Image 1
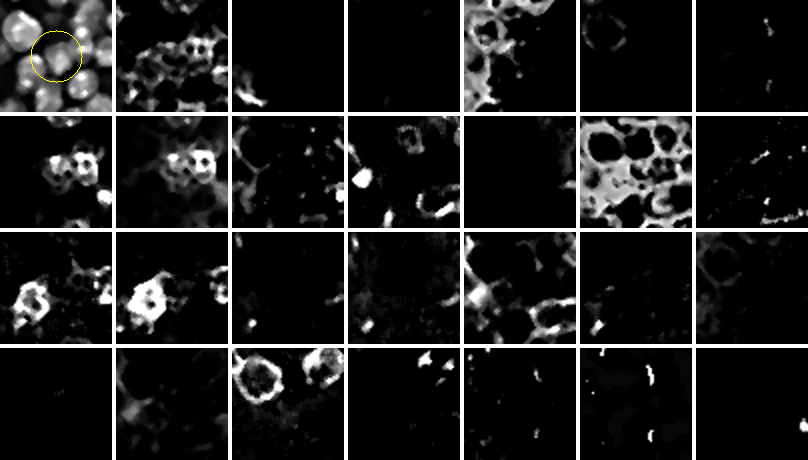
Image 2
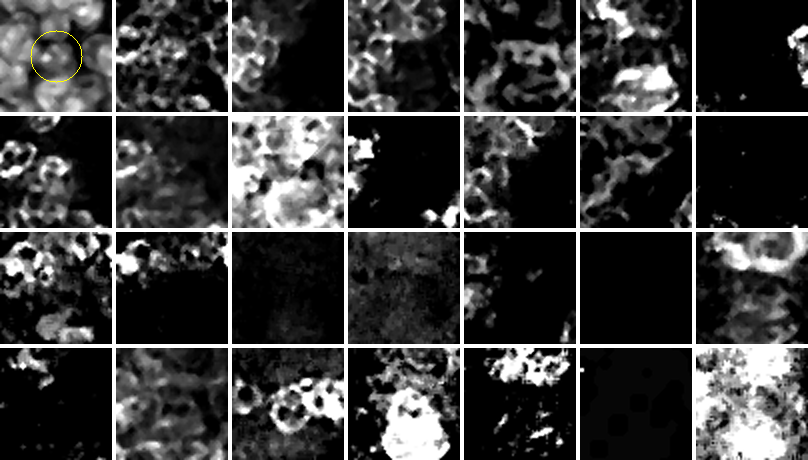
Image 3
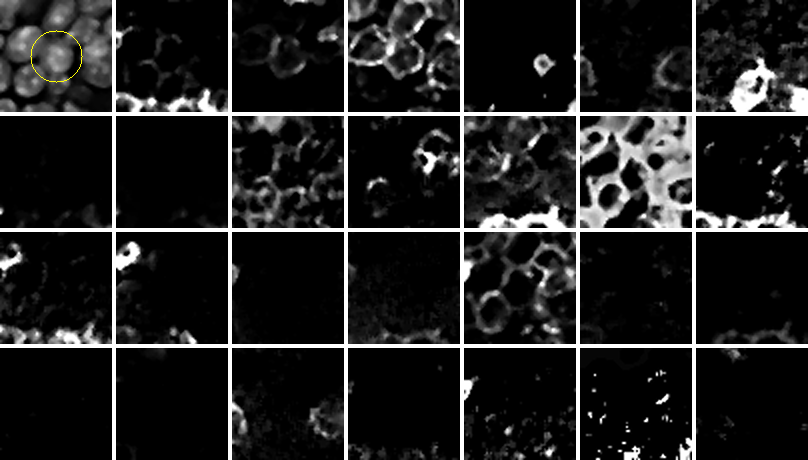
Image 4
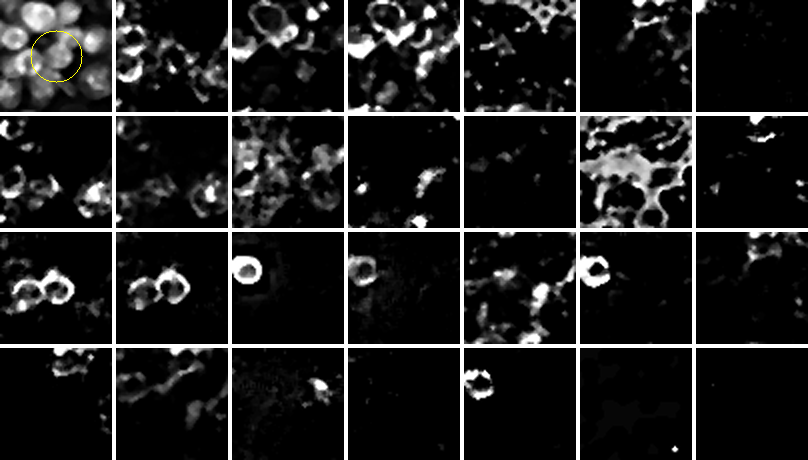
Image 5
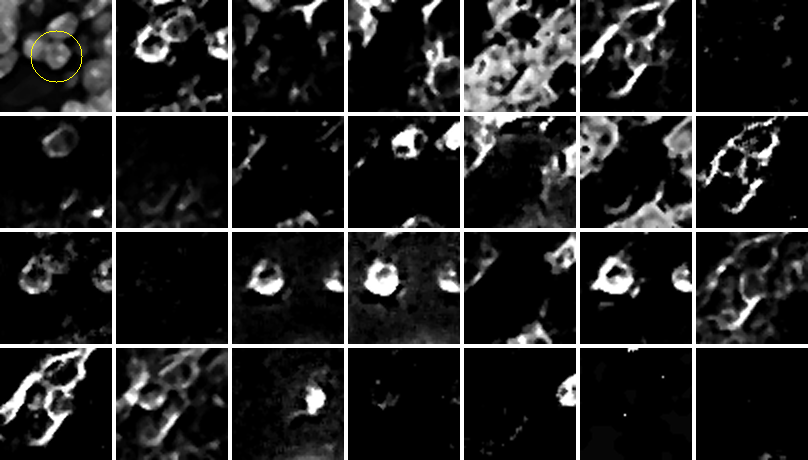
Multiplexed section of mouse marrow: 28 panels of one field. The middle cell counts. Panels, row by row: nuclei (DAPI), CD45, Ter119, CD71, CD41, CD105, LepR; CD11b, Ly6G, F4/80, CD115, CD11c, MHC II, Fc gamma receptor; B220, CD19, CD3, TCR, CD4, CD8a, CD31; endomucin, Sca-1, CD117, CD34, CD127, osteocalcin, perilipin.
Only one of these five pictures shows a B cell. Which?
Picture 4.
